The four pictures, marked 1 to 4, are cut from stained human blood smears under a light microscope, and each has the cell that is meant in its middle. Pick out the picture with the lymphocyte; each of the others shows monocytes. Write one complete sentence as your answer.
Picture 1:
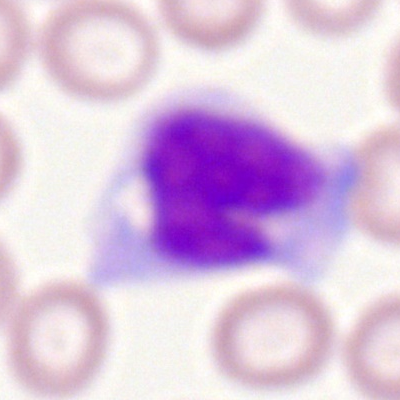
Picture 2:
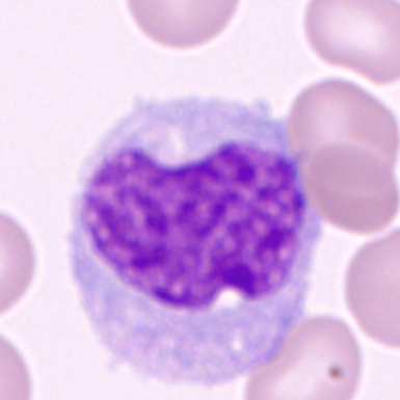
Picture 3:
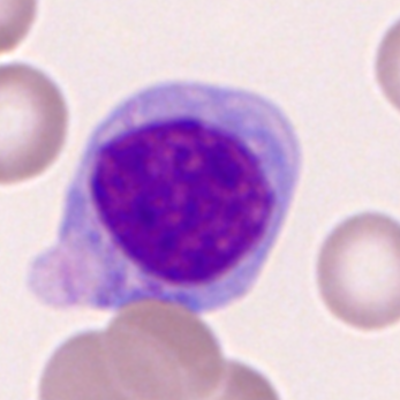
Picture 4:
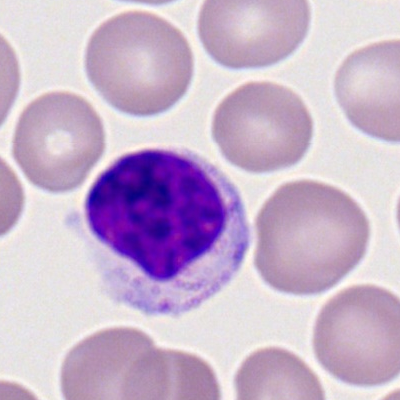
The lymphocyte is the one in picture 4.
